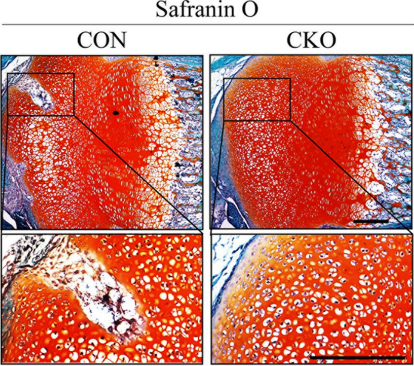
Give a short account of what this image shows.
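The bone end is filled with red-orange stained cartilage in which rounded cells sit singly in pale lacunae, with bluish-green counterstained tissue at the margins. In the left magnified view a pale cavity breaks into the red matrix and holds loose dark-stained cells and bluish tissue, the early hollowing out of the cartilage. In the right magnified view the red matrix is continuous, with evenly spaced chondrocytes and no cavity.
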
